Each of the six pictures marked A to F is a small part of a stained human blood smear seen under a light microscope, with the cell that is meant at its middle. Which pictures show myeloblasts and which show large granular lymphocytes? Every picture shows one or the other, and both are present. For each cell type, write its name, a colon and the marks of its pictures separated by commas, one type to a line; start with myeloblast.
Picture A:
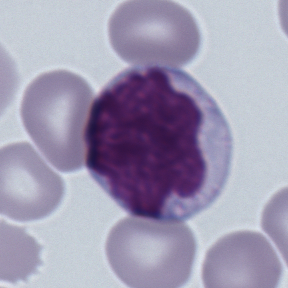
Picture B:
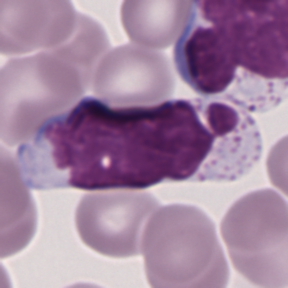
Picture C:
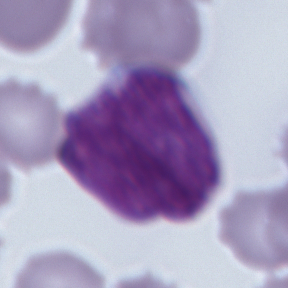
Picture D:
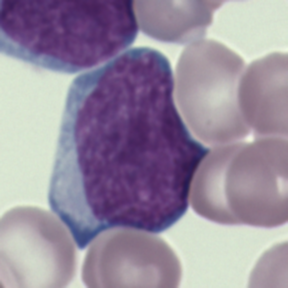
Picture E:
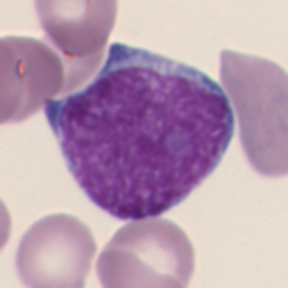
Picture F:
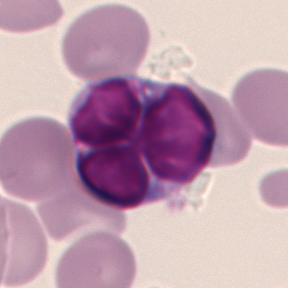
myeloblast: C, D, E
large granular lymphocyte: A, B, F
